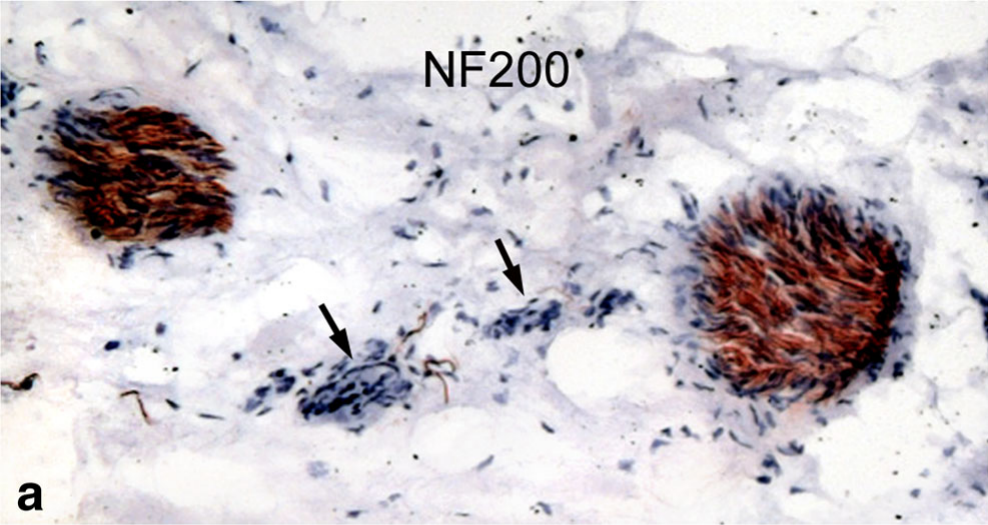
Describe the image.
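This is loose connective and fatty tissue containing two rounded bundles of nerve fibres, which are stained brown. Each bundle is packed with wavy brown fibres among many elongated, dark blue nuclei. Between the bundles lies pale, loose tissue with scattered spindle-shaped nuclei and empty spaces left by fat cells. Smaller clusters of blue nuclei without brown staining lie in this tissue between the nerve bundles.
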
